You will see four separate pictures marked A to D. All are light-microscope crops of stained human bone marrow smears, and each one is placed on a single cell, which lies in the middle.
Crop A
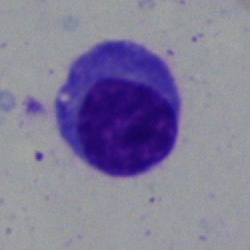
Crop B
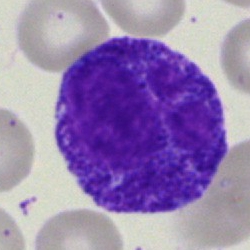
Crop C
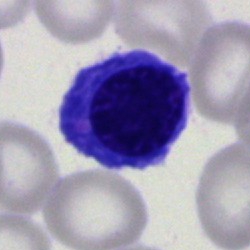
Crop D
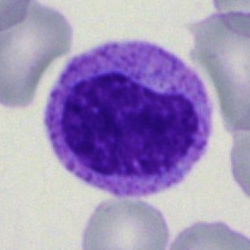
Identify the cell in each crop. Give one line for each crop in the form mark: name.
A: plasma cell
B: promyelocyte
C: normoblast
D: myelocyte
